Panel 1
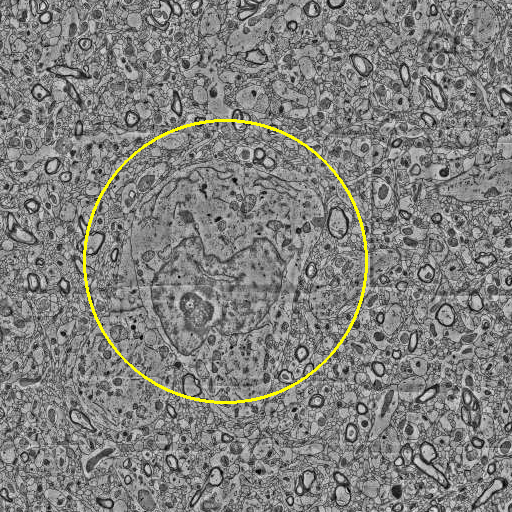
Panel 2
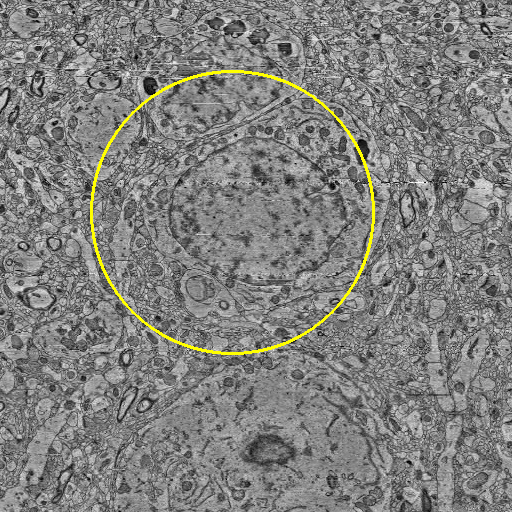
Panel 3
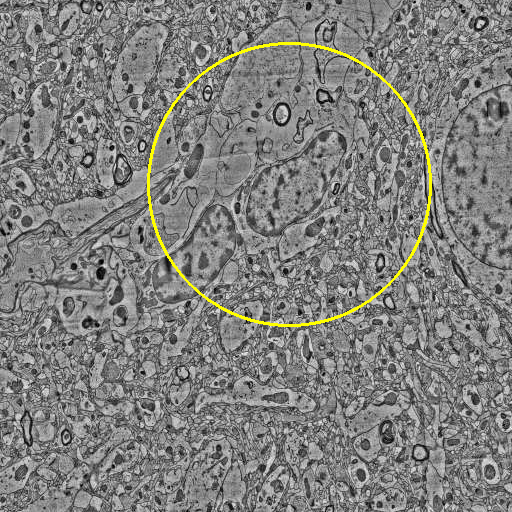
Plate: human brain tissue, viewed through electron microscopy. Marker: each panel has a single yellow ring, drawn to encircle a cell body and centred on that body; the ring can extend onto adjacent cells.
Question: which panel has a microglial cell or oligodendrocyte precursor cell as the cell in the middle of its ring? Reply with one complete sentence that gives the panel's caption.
Panel 3 is where the requested cell sits at the centre of the ring.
